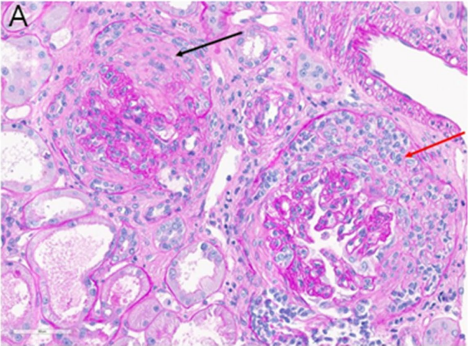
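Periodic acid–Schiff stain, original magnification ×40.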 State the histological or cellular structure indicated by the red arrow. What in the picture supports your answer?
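Cellular crescent. Several layers of plump cells with round nuclei fill the space between the tuft and the capsule of the arrowed glomerulus.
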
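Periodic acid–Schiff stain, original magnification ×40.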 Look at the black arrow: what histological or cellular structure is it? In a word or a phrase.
Circumferential fibrocellular crescent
